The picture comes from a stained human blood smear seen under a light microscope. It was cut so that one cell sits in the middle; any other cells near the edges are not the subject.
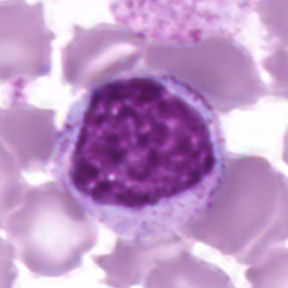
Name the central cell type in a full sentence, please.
As for the central cell, it is a myelocyte.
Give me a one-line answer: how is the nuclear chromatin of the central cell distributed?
What stands out is chromatin that is coarsely clumped.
